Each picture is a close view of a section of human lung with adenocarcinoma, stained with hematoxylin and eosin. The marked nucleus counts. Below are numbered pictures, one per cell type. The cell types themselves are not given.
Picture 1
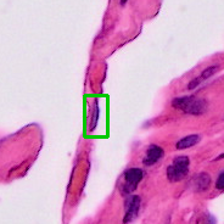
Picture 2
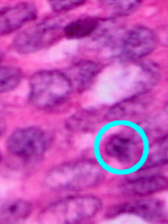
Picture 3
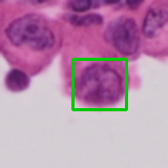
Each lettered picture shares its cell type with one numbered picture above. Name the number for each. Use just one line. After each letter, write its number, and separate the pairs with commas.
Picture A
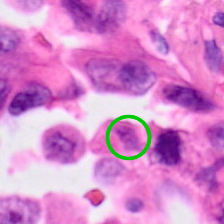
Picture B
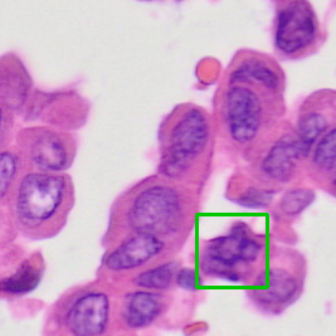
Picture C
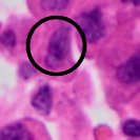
A 3, B 3, C 3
